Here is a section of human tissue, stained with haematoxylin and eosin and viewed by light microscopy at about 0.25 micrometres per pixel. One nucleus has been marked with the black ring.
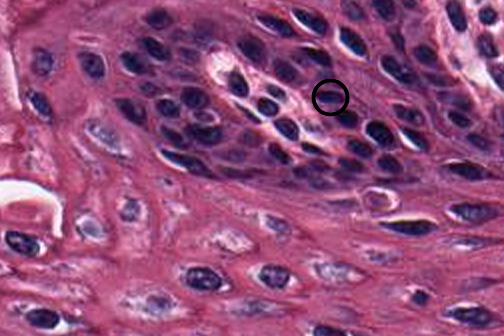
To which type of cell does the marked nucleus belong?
squamous epithelial cell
